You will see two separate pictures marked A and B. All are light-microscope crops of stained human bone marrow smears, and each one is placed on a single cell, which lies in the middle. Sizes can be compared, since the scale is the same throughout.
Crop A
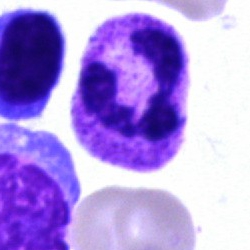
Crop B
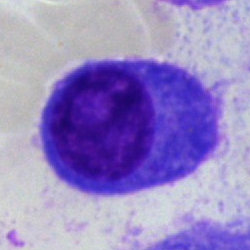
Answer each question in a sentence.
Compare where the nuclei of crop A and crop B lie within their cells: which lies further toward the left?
In crop B the nucleus is shifted more toward the left.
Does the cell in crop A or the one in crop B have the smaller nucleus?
The nucleus in crop A is smaller; the one in crop B has about 1.5 times its area.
